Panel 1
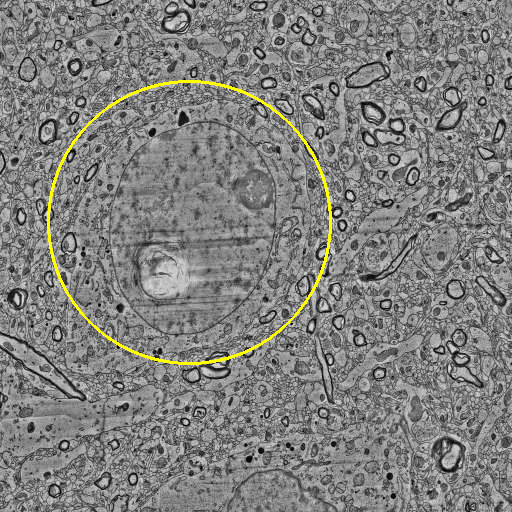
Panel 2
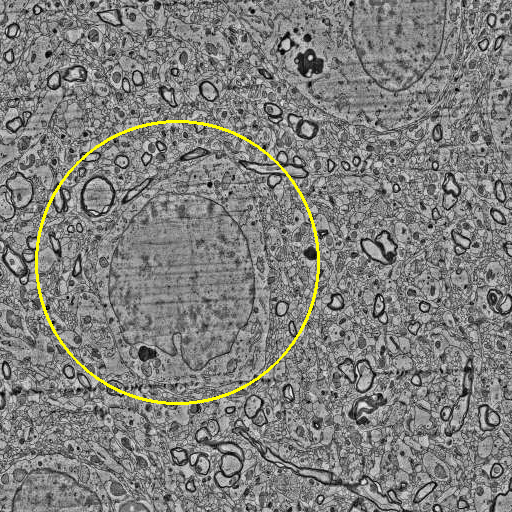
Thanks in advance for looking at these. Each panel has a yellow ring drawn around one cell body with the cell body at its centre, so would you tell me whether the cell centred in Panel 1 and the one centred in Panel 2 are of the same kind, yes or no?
yes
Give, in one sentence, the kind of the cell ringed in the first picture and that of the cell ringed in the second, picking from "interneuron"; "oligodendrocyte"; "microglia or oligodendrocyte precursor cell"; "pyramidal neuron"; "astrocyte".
Each cell at the centre of a ring is a pyramidal neuron.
